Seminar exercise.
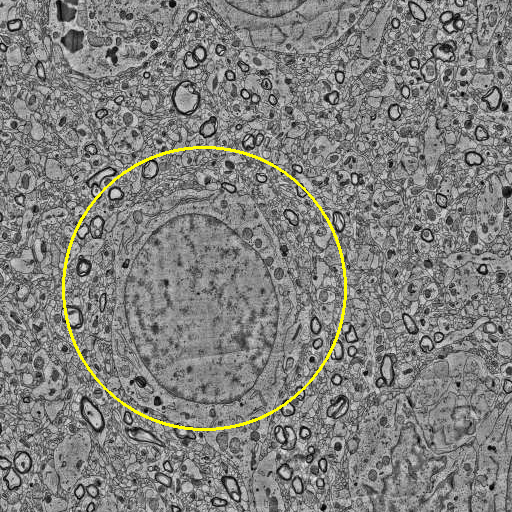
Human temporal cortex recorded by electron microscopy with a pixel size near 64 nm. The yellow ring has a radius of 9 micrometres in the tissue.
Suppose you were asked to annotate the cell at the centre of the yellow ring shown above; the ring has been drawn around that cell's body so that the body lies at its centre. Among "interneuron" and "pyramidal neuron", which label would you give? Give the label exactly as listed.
interneuron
